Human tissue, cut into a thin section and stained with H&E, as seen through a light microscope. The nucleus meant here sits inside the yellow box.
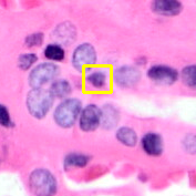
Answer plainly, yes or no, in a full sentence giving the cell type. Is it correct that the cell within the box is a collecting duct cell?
Yes, the cell within the box is correctly named as a collecting duct cell.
